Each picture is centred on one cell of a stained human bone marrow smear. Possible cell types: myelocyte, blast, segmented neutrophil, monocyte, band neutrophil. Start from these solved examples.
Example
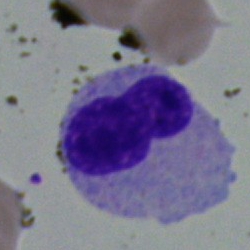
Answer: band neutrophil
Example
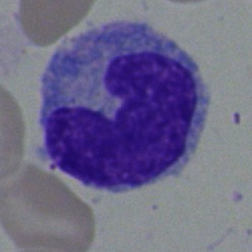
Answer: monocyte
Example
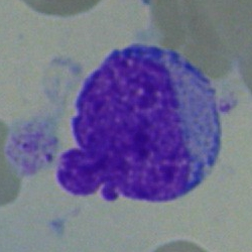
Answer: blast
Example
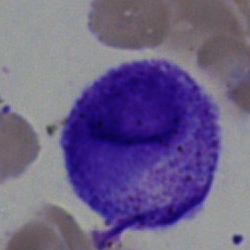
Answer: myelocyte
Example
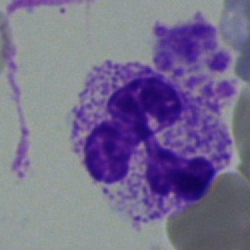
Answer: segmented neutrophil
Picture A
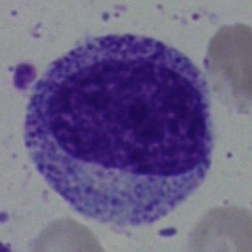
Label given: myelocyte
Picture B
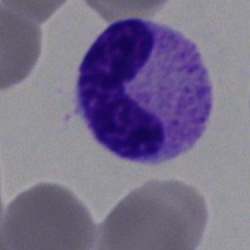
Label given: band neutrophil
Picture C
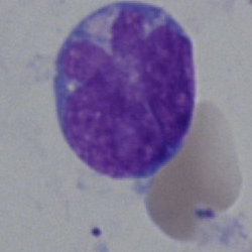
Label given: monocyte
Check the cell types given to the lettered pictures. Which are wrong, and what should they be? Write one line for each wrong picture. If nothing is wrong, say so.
C is labelled monocyte; correct label: blast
